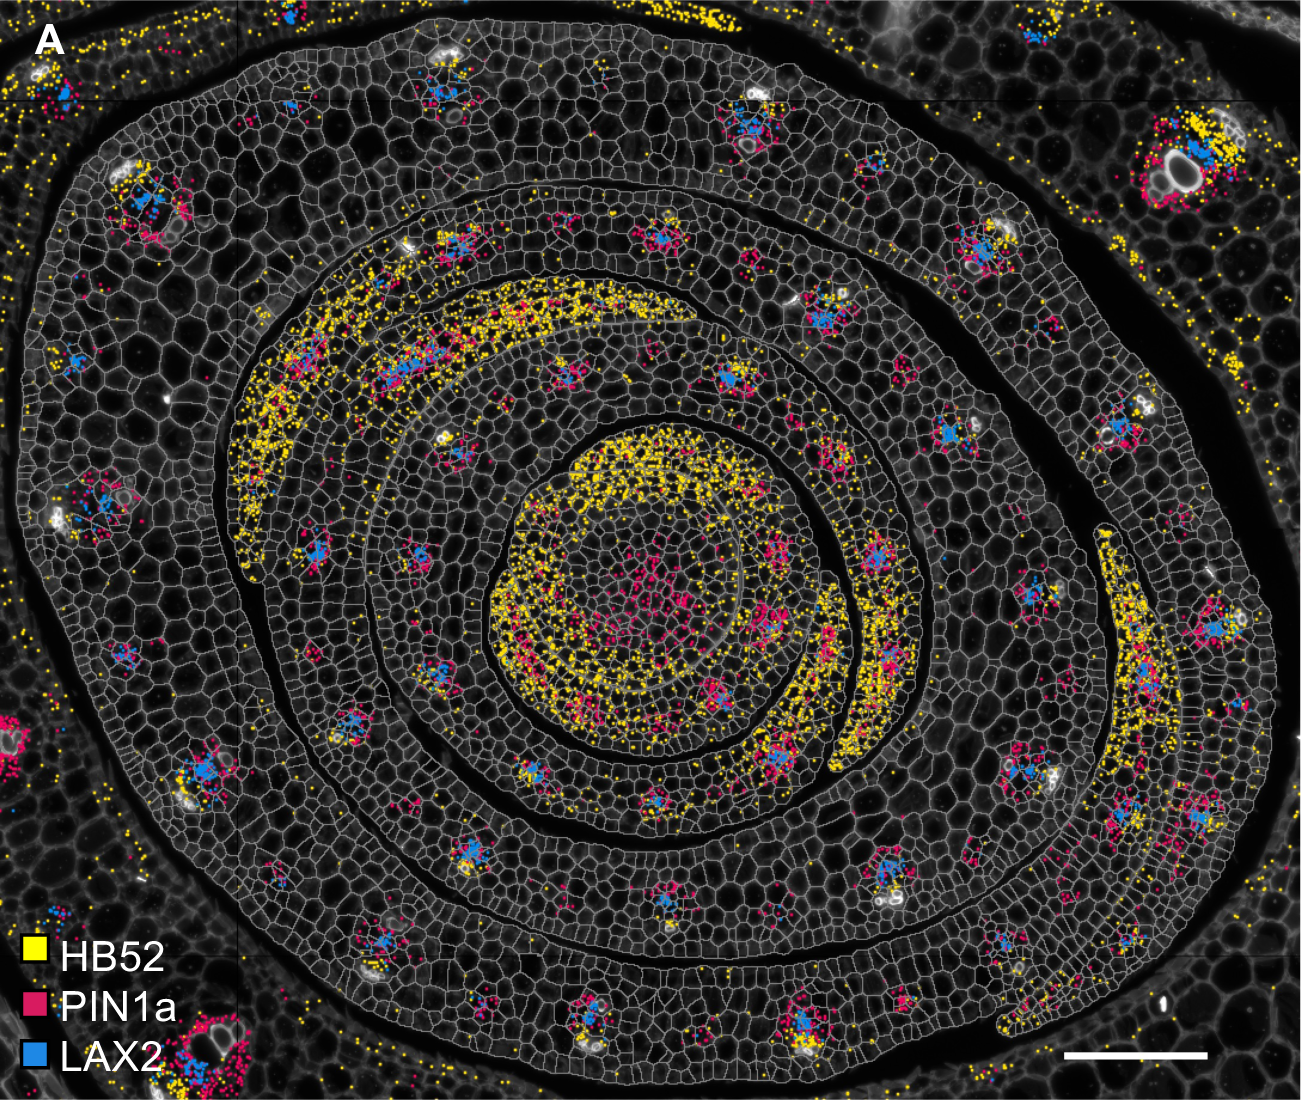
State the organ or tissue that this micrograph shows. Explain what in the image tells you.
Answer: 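Leaf primordia. Several concentric, ring-shaped sections of leaves nest one inside another around a central core. Each ring is a sheet of cells with small clusters of coloured dots spaced along it.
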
